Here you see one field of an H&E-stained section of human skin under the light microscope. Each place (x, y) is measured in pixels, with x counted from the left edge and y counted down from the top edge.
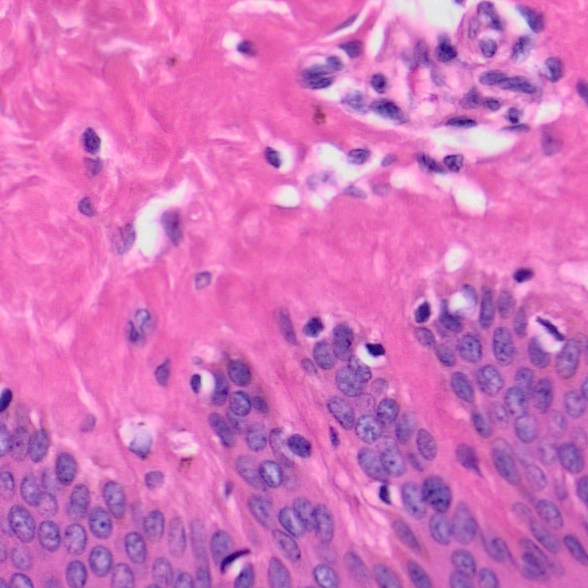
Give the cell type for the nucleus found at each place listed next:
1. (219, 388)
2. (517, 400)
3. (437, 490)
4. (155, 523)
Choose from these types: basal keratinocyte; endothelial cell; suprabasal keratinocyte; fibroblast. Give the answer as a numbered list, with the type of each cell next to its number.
1. basal keratinocyte
2. suprabasal keratinocyte
3. basal keratinocyte
4. basal keratinocyte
